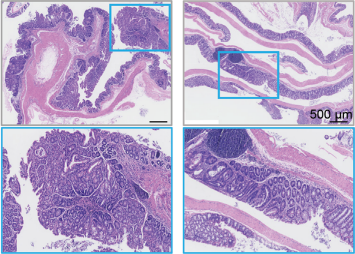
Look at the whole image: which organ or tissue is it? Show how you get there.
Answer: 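A thin-walled tubular bowel wall lined by mucosa. A raised, crowded glandular mass projects from the mucosa into the lumen. The mass has densely packed, irregular glands unlike the flat neighbouring mucosa. On this evidence: colonic tumor tissues.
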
